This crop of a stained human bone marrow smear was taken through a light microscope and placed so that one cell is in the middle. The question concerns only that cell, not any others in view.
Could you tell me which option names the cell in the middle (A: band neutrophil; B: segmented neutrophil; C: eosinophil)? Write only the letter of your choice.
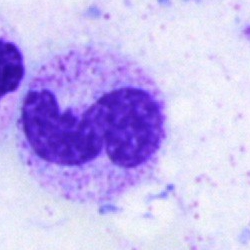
A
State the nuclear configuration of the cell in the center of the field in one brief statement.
If you check the nucleus, you will find one compact mass, round, oval or kidney-shaped.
